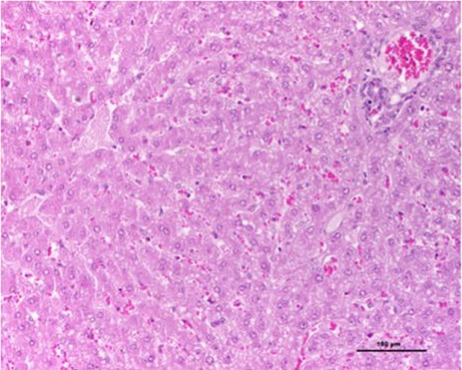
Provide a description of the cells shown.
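Liver parenchyma of polygonal hepatocytes arranged in cords, with round central nuclei and mostly pink, finely granular cytoplasm; some cells show slight paleness or small clear vacuoles. Sinusoids between the cords contain scattered red blood cells. At upper right a portal area holds a vessel packed with red blood cells beside a small duct with a bluish cuboidal lining and some surrounding connective tissue. A paler vein-like channel lies at upper left. Architecture is preserved, with only mild, scattered cytoplasmic clearing.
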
